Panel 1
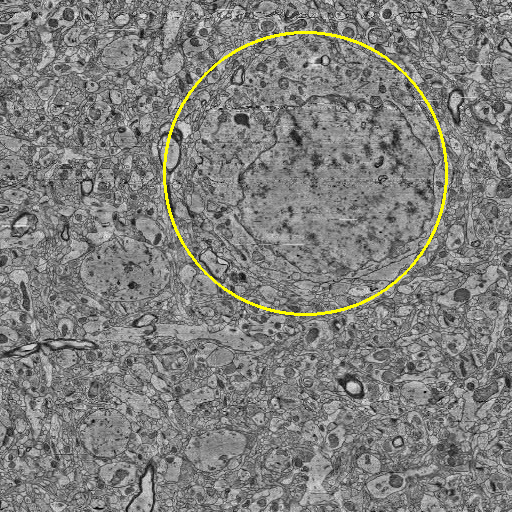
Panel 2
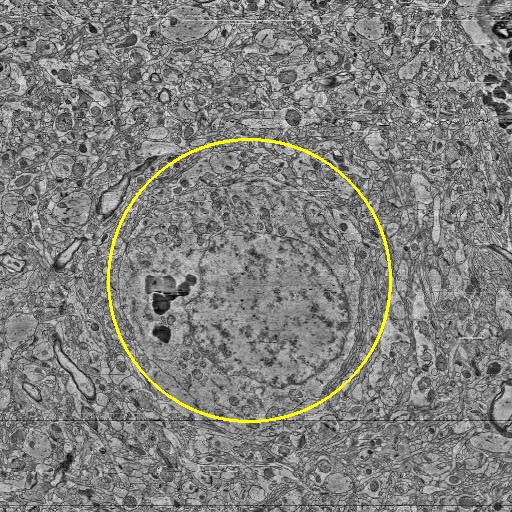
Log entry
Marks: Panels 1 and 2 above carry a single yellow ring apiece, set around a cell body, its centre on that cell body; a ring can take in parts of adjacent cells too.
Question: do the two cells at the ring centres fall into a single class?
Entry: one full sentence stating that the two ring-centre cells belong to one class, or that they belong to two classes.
The two ring-centre cells in Panels 1 and 2 belong to one class.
